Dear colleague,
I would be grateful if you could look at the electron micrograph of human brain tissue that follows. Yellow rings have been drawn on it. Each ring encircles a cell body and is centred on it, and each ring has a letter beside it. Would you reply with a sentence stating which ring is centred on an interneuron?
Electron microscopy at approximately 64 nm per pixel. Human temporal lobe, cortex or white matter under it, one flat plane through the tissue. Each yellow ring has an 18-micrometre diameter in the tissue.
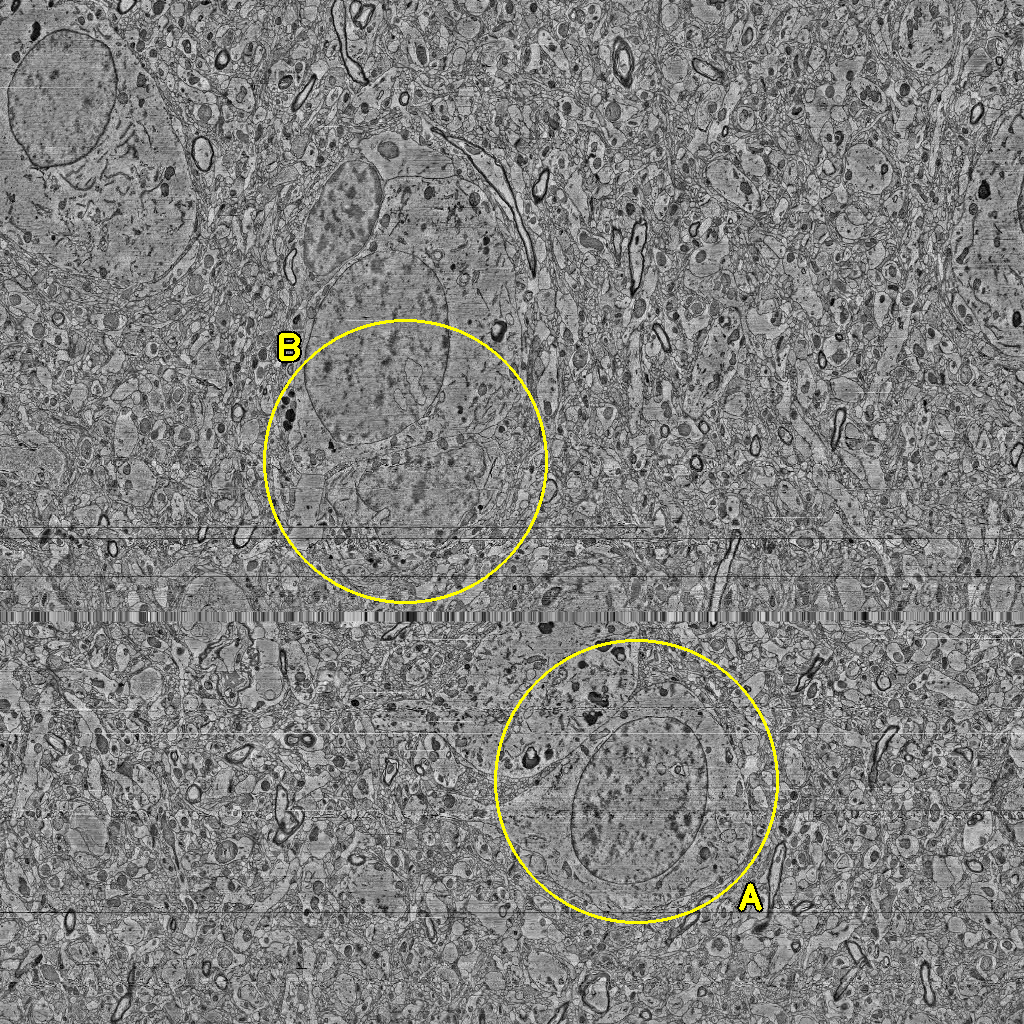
The ring centred on it is ring B.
